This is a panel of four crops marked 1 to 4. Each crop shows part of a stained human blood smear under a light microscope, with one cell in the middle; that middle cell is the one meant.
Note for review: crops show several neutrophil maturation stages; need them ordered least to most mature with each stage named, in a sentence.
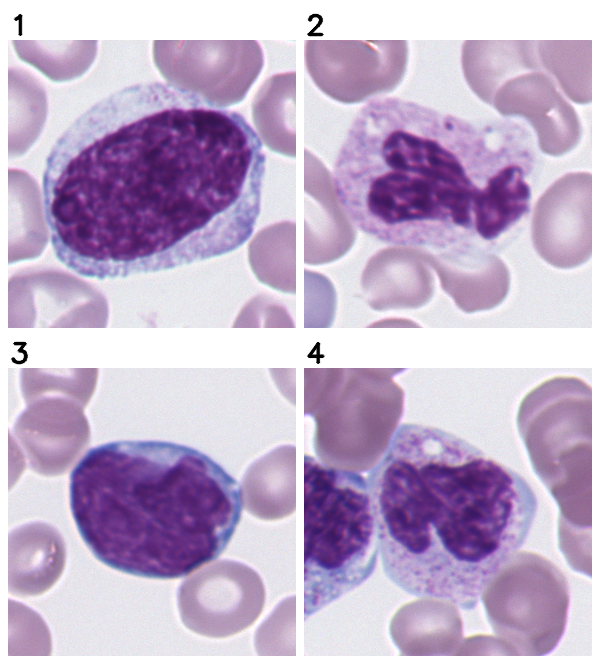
The correct order from least to most mature is crop 3 (a myeloblast), crop 1 (a promyelocyte), crop 4 (a band neutrophil) and crop 2 (a segmented neutrophil).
